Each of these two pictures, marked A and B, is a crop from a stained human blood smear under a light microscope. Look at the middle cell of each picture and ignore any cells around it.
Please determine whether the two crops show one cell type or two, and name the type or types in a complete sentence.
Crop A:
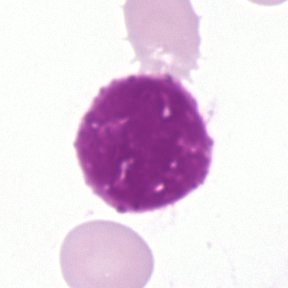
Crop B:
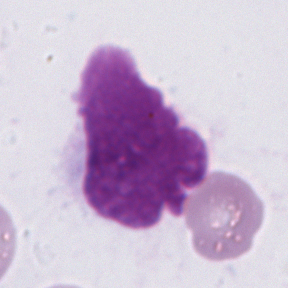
Yes, both crops show smudge cells in their central position.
